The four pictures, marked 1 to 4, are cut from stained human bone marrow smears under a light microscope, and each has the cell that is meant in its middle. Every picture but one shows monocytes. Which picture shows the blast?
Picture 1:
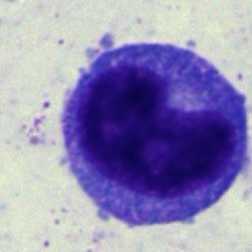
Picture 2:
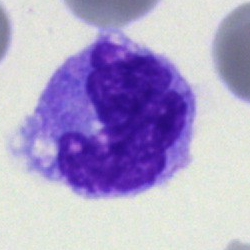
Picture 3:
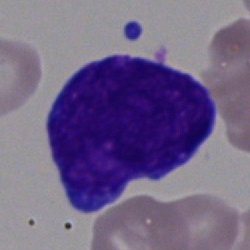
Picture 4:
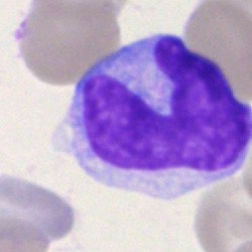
3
